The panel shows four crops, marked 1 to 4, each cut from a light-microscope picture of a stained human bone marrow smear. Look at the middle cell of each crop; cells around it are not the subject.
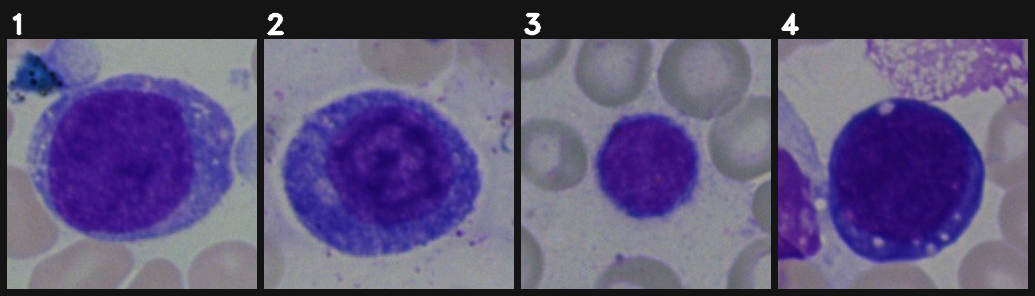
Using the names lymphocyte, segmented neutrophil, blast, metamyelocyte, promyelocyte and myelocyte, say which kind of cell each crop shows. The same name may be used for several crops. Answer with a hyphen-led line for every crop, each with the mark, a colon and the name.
- 1: blast
- 2: promyelocyte
- 3: lymphocyte
- 4: blast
